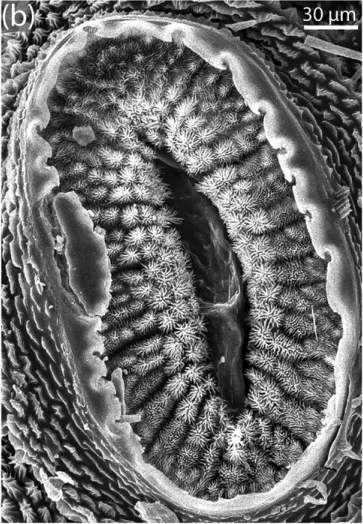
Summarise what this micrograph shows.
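A spiracle seen from the surface, an oval opening framed by a smooth raised rim with a wavy edge. Its inner walls are densely covered with small star-shaped spiny trichomes arranged in rows that converge on a central slit. The surrounding body surface bears scale-like projections.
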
